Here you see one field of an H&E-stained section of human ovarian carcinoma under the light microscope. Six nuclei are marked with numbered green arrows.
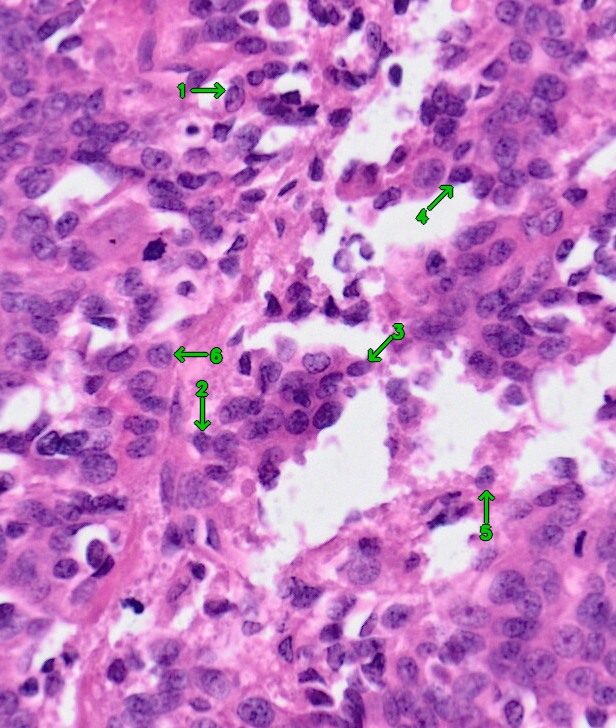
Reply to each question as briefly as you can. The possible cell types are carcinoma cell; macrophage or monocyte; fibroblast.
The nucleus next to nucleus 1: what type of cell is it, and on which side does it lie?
a macrophage or monocyte; above and to the right of nucleus 1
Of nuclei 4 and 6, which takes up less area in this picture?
4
